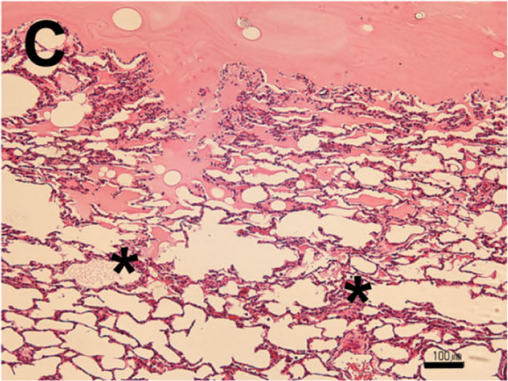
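This is lung parenchyma made of thin alveolar septa with small purple nuclei around open air spaces. A pink, homogeneous acellular material covers the top of the field and extends down between the septa, filling air spaces deep within the tissue. No gap separates the pink layer from the alveolar tissue.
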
